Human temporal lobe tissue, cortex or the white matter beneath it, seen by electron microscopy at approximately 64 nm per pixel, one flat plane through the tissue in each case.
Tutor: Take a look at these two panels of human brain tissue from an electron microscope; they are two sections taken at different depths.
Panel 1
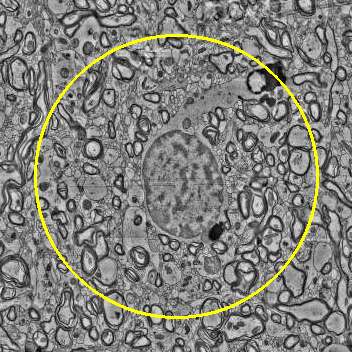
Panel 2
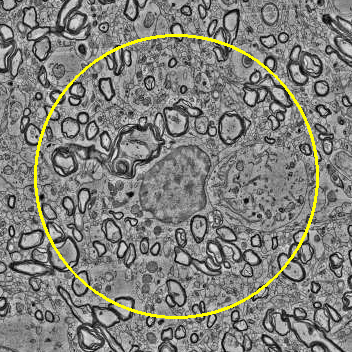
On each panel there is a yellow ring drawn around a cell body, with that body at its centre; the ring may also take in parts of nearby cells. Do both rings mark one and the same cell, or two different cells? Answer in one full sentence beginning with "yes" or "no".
No, the yellow rings highlight two different cells in the tissue.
